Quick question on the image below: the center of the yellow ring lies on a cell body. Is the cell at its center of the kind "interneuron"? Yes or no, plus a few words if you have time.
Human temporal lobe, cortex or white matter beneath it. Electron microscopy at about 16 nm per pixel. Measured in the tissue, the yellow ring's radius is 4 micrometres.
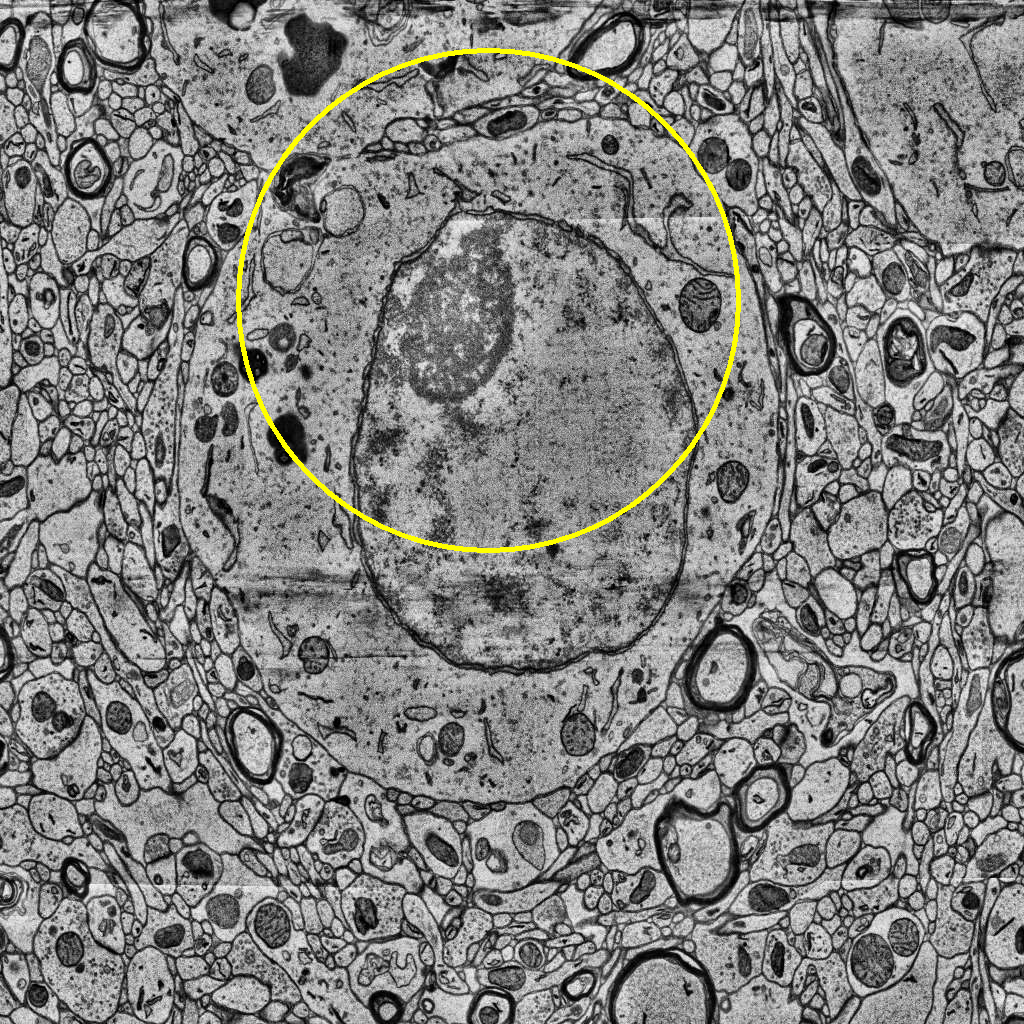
No, the cell at the center is of another kind.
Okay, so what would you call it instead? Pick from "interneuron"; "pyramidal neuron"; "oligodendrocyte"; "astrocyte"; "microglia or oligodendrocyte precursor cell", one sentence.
What the ring encloses here is a pyramidal neuron.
